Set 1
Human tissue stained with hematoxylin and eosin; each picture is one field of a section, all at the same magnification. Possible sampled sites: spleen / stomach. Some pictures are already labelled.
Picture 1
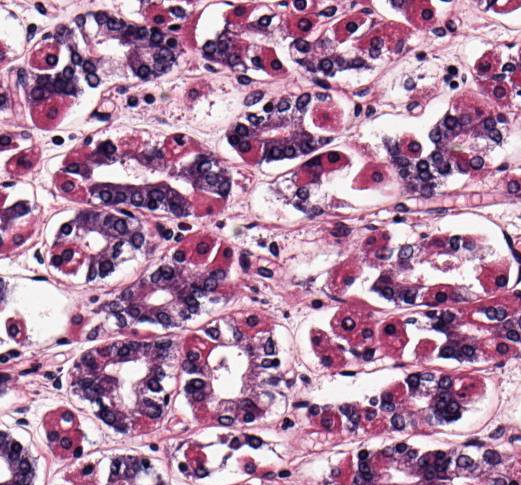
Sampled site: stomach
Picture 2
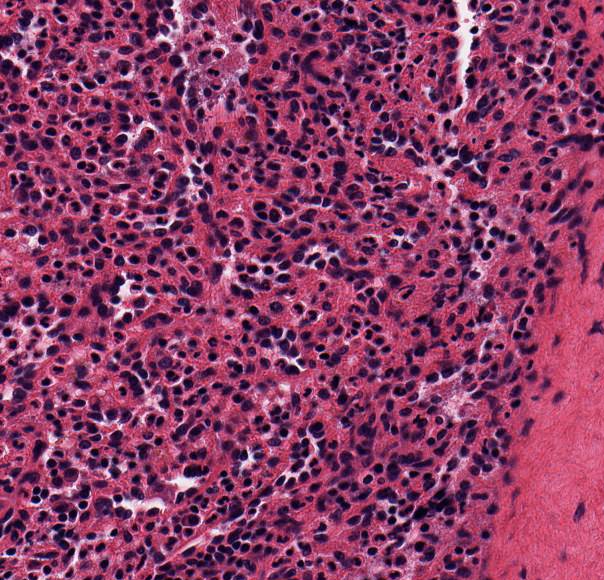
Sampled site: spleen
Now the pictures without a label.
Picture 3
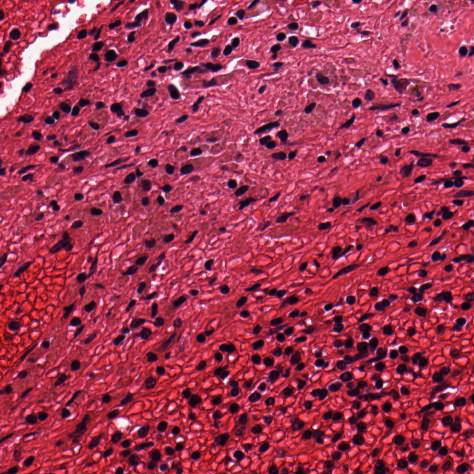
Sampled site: spleen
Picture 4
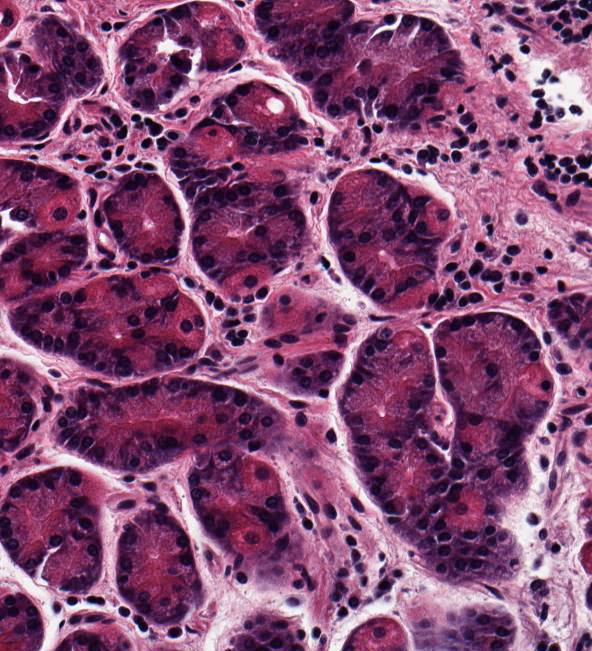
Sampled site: stomach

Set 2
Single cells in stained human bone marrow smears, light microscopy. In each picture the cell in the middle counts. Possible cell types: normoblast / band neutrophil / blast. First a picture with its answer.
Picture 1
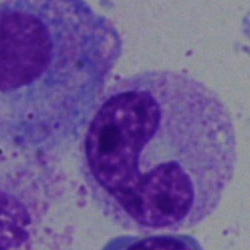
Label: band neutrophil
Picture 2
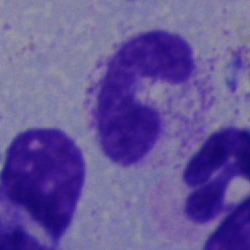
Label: band neutrophil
